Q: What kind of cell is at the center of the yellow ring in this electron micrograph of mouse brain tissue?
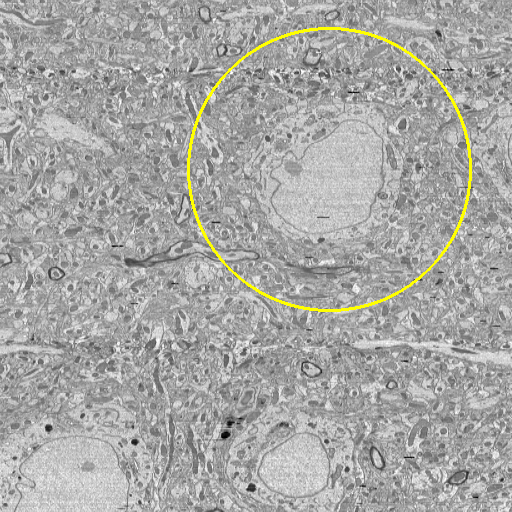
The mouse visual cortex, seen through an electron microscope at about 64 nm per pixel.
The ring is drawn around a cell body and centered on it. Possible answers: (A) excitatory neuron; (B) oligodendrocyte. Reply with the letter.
A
